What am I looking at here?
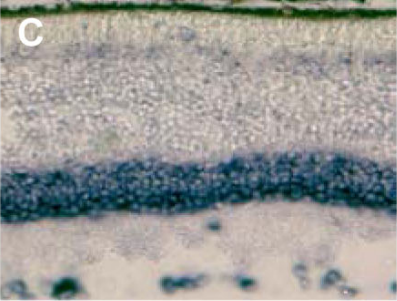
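Lower-magnification cross-section of the retina showing a thin dark pigmented layer at the top, a wide pale outer region, and a broad curved band of densely packed blue-stained cells in the inner nuclear layer. Beneath a pale inner plexiform layer, scattered blue-stained cells of the ganglion cell layer sit along the inner edge.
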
